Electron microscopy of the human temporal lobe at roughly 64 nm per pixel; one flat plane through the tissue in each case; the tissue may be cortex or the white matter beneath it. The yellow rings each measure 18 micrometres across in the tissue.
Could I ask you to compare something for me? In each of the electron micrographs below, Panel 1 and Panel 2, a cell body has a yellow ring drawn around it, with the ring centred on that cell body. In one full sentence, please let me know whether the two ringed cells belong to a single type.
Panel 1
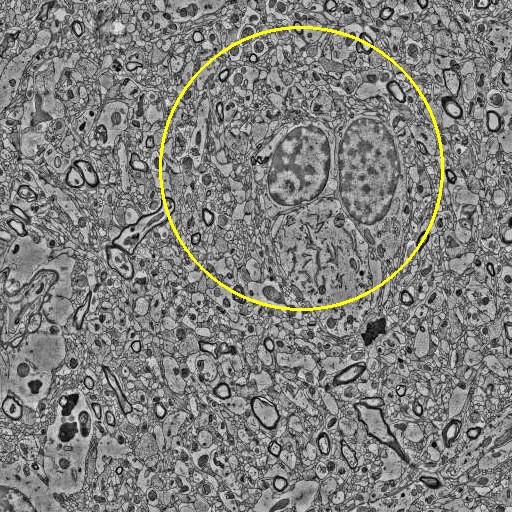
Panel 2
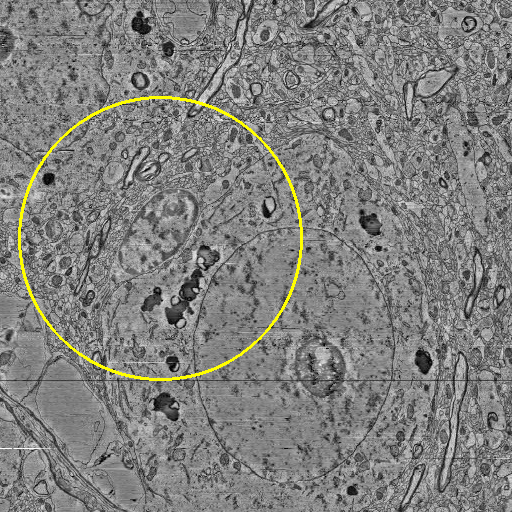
Yes, the two cells at the centres of the rings are of one type.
